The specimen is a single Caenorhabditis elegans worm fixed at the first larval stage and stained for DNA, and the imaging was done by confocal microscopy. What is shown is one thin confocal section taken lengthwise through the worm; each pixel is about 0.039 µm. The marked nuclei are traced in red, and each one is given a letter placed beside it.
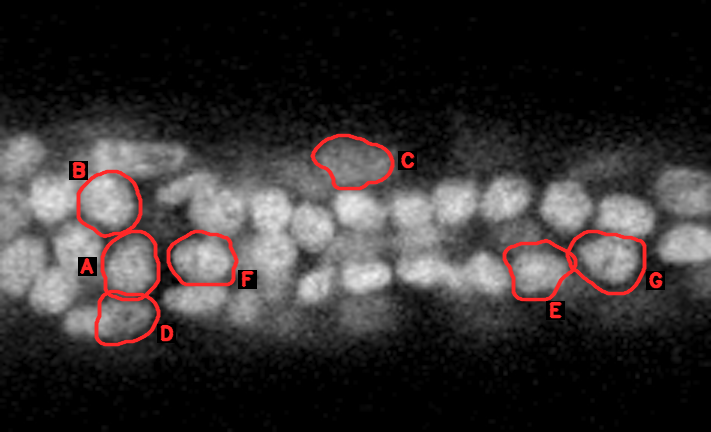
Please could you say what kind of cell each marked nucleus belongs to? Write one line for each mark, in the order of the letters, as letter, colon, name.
A: neuron
B: neuron
C: body wall muscle cell
D: body wall muscle cell
E: glial cell (sheath or socket)
F: neuron
G: hypodermal cell (hyp)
